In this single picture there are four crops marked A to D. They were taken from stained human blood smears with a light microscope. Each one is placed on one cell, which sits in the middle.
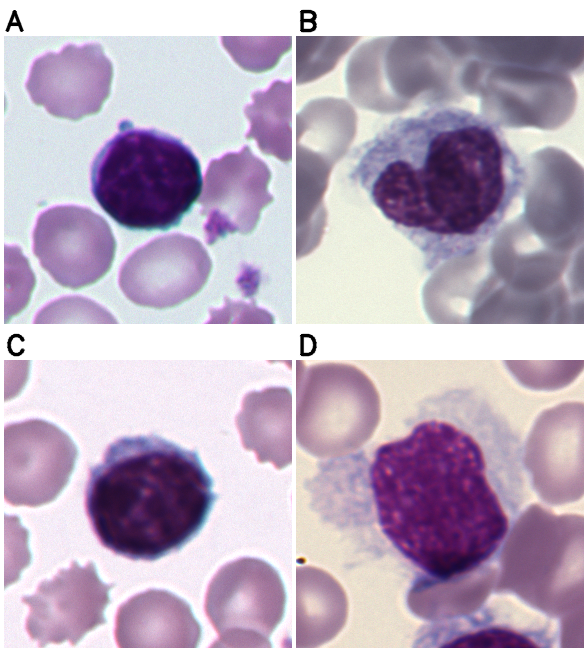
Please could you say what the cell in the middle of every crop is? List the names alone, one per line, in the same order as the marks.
typical lymphocyte
monocyte
typical lymphocyte
hairy cell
